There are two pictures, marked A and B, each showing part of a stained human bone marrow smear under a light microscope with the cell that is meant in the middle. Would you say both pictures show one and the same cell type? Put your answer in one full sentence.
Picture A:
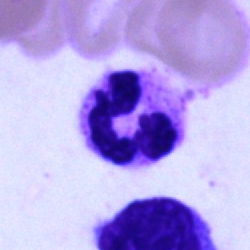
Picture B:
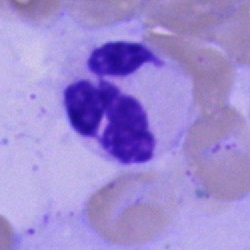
Yes, both cells are segmented neutrophils.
